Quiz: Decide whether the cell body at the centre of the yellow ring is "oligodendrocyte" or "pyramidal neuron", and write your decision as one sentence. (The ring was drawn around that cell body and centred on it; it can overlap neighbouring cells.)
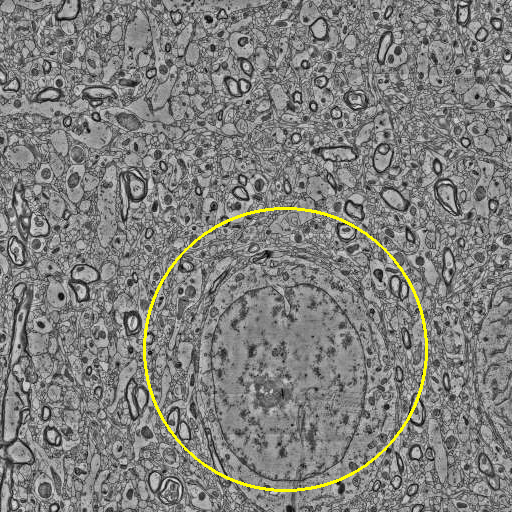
The cell the ring is centred on is a pyramidal neuron.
